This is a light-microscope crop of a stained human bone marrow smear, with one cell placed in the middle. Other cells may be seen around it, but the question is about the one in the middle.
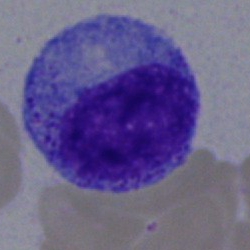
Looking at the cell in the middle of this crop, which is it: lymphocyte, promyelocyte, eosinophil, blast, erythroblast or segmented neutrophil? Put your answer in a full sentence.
Located at the centre of the crop is a promyelocyte.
